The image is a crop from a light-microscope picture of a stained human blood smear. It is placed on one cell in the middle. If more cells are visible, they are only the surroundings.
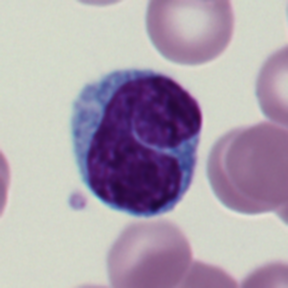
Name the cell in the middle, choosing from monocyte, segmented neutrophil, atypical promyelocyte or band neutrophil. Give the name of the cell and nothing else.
monocyte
